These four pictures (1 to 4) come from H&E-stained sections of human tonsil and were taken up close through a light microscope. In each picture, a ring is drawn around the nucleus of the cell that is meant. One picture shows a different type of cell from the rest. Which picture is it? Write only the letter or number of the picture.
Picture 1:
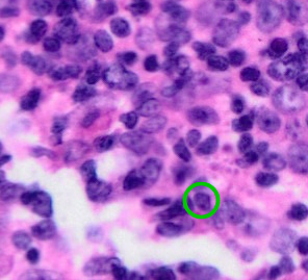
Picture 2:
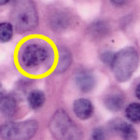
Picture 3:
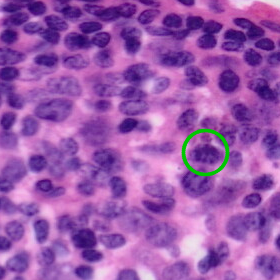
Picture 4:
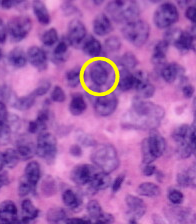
2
